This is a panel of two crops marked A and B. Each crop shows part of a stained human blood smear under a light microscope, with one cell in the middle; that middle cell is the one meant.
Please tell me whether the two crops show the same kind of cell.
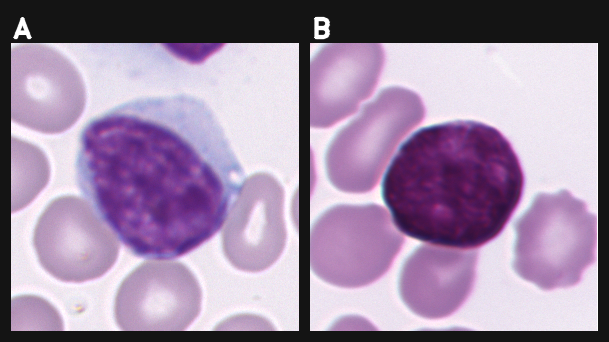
yes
